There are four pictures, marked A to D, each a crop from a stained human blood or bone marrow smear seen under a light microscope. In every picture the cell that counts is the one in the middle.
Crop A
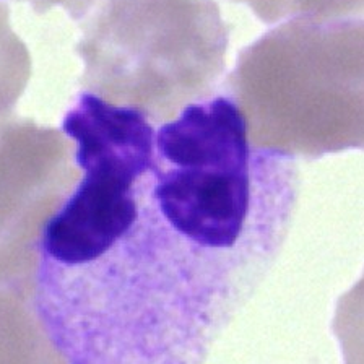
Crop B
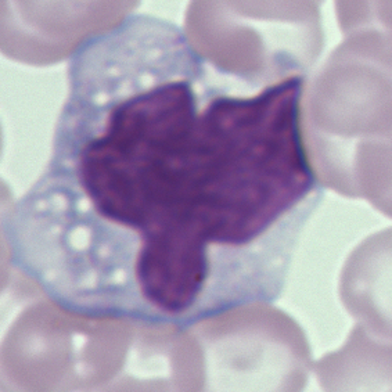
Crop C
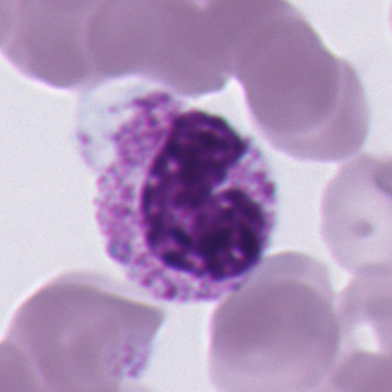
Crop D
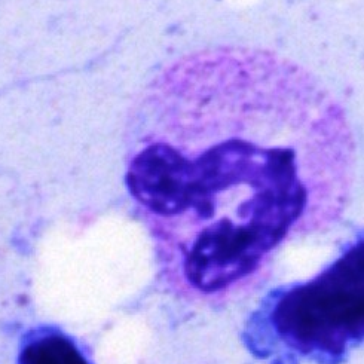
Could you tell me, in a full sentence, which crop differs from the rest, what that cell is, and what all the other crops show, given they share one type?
Whereas the other crops show segmented neutrophils, crop B is a monocyte.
